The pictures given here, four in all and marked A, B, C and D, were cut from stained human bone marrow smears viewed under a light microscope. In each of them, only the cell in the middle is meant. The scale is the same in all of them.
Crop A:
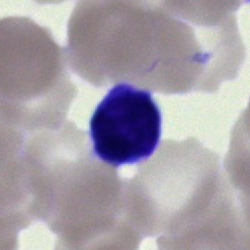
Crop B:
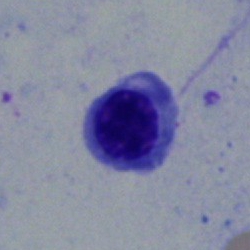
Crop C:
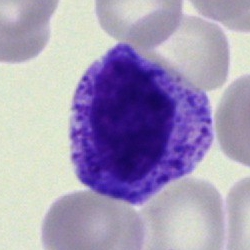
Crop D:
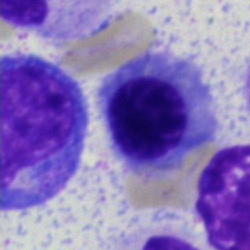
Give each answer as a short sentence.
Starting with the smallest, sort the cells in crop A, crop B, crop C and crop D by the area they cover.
From the smallest up, the order is A, B, D, C.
